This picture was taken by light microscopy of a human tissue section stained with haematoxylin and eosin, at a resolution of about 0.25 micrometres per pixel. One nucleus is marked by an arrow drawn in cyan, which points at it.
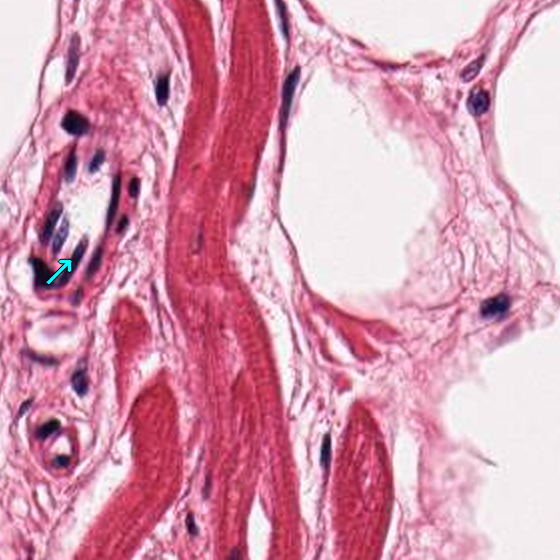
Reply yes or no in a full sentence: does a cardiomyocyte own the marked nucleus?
No, the marked nucleus has its place in a supporting cell rather than in a cardiomyocyte.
